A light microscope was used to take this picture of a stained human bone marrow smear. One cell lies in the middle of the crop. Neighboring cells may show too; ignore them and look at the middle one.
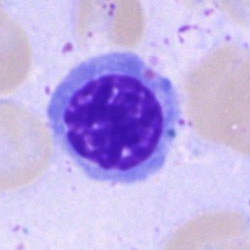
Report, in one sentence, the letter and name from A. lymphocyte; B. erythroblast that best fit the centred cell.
Option B is correct in naming the middle cell an erythroblast.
